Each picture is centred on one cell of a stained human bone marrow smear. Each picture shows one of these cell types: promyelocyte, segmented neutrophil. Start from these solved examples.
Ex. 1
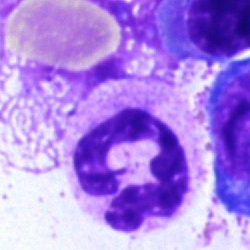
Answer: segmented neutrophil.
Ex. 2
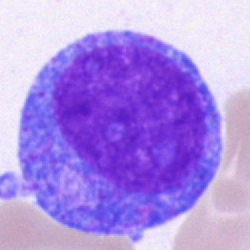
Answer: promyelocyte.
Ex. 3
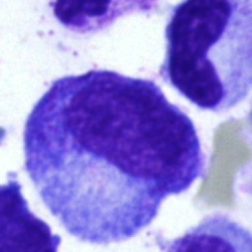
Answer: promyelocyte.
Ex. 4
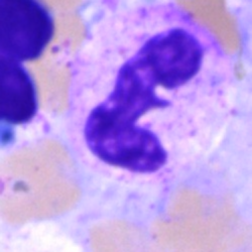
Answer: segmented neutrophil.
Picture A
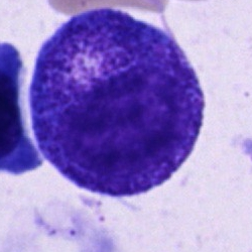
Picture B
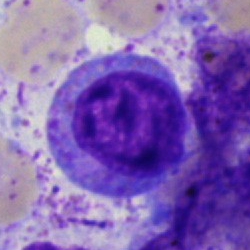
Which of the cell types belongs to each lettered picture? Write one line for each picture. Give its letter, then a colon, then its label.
A: promyelocyte.
B: promyelocyte.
